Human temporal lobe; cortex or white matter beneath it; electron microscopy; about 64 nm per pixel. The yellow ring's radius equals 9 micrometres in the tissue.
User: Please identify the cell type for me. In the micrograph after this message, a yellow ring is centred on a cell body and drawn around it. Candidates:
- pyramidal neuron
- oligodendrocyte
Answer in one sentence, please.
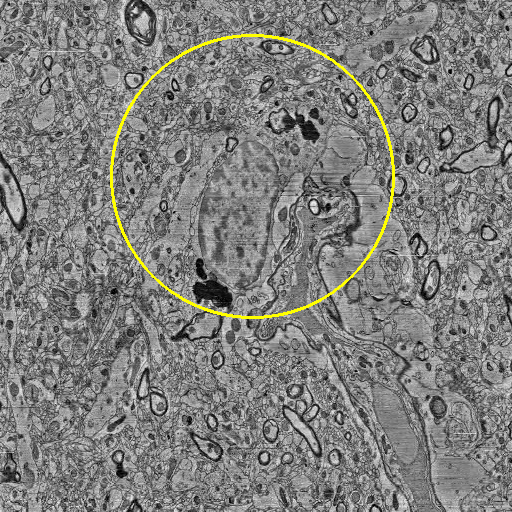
The ring is drawn around the cell body of an oligodendrocyte.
